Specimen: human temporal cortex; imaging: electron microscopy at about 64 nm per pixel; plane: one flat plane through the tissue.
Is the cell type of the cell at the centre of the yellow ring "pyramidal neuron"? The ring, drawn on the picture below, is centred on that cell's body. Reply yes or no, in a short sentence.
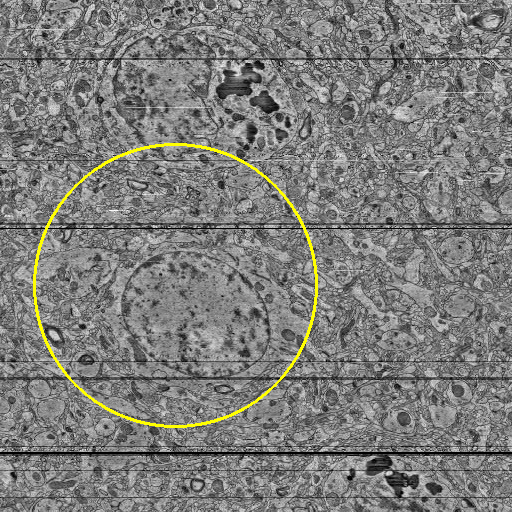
No, its cell type is another.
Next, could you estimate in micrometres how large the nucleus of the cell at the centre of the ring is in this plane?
Roughly 10 by 8 micrometres in this plane, for the nucleus of the ringed cell.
